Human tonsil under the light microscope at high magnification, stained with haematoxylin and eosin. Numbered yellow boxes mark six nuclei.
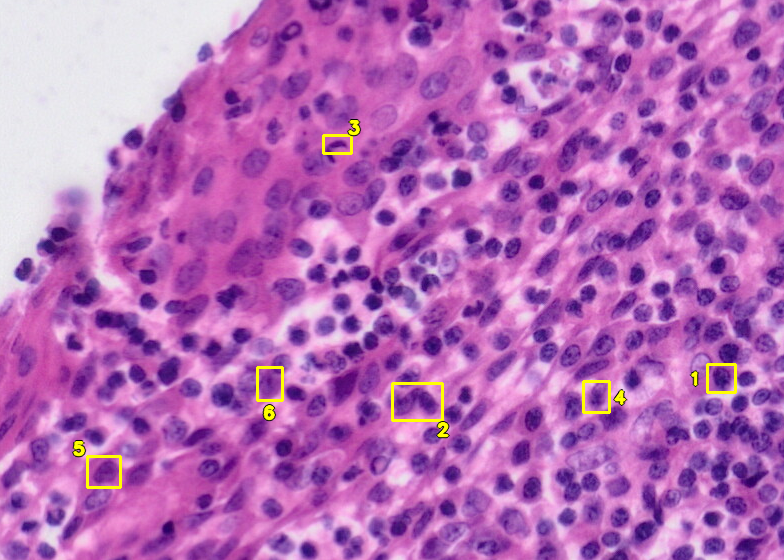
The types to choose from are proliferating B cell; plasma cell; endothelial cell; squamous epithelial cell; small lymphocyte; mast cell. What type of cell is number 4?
plasma cell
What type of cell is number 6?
squamous epithelial cell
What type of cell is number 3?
squamous epithelial cell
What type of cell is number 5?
squamous epithelial cell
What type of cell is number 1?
plasma cell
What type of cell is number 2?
squamous epithelial cell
